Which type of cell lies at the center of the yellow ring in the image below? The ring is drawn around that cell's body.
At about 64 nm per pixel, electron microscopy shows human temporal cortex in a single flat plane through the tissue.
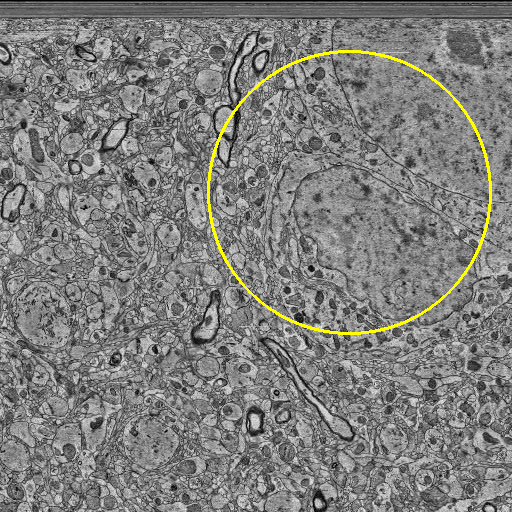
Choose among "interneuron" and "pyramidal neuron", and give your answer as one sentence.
The cell body at the center belongs to an interneuron.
